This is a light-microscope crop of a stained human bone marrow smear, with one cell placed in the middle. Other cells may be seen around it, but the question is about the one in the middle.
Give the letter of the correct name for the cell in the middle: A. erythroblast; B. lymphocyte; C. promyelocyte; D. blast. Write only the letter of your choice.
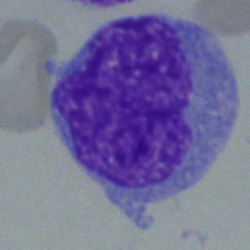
D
